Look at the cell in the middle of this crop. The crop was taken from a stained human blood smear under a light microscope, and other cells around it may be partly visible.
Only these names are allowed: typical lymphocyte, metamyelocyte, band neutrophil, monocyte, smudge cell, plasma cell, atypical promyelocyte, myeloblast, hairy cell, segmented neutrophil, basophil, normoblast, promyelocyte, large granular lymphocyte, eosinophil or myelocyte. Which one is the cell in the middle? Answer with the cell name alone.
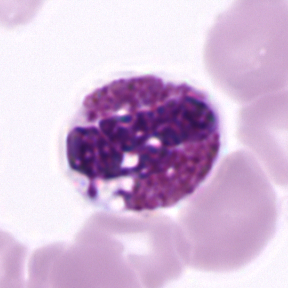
eosinophil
